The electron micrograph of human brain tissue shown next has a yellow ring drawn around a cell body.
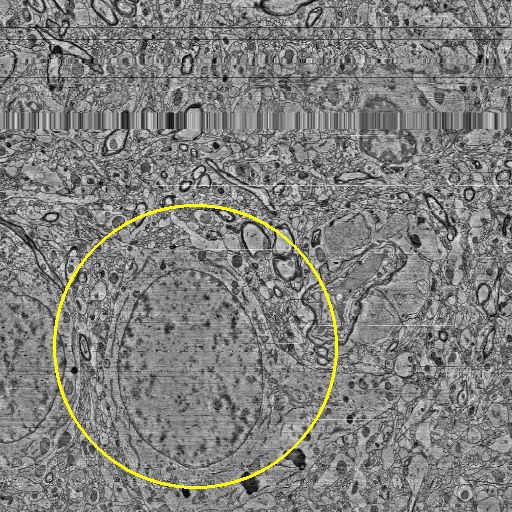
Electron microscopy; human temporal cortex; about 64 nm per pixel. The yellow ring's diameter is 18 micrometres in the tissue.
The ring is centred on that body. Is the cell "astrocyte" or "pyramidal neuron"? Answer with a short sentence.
The cell in question is a pyramidal neuron.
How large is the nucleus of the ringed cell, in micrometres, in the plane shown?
In this plane the nucleus is about 13 micrometres by 9.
